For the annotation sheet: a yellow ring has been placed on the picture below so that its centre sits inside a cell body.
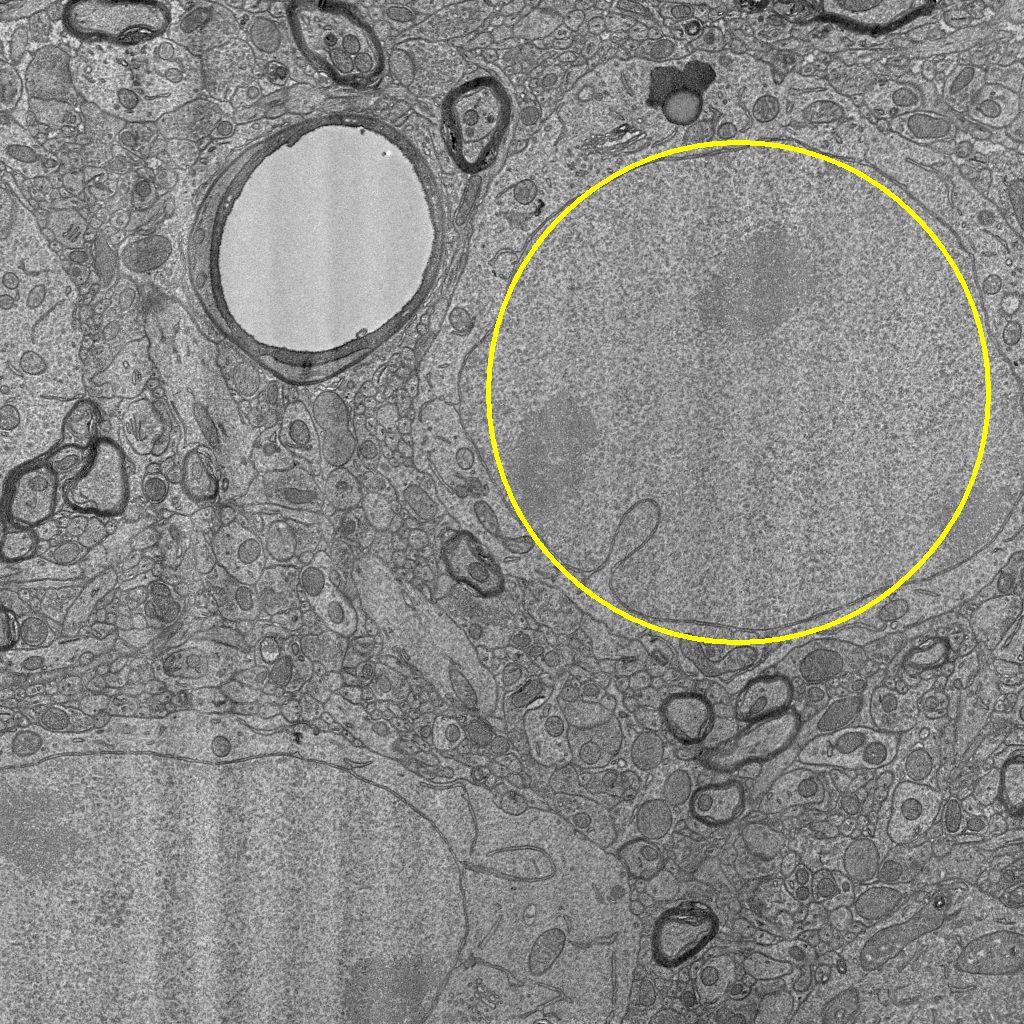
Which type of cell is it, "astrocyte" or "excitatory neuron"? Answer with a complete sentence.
The cell at the ring's centre is an excitatory neuron.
